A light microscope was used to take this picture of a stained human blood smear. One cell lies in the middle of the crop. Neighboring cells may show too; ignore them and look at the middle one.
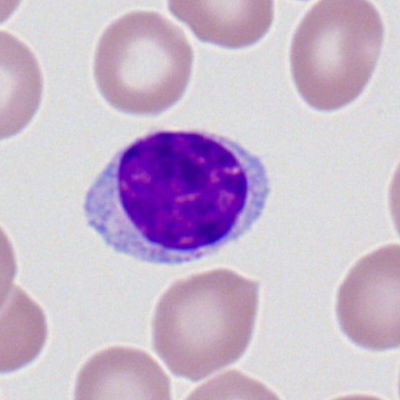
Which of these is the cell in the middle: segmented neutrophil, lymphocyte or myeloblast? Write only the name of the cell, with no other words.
lymphocyte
